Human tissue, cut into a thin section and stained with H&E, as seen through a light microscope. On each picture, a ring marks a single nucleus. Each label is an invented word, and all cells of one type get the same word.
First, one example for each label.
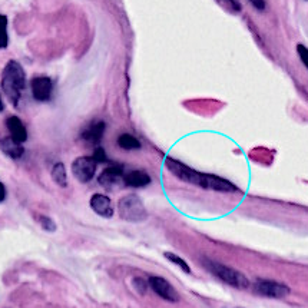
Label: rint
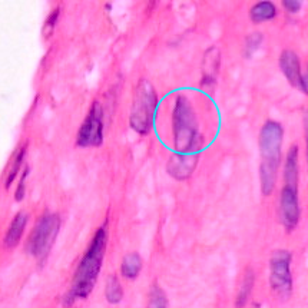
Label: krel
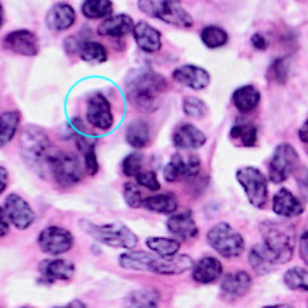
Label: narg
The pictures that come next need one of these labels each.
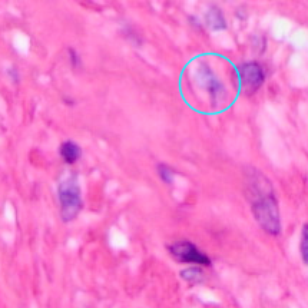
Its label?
krel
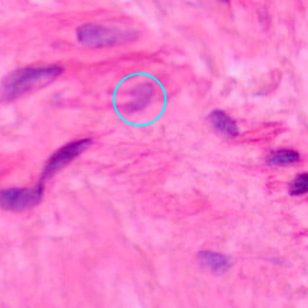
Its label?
krel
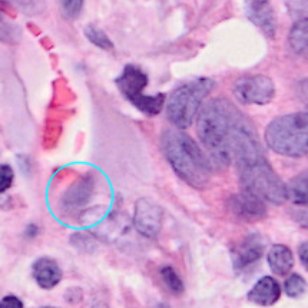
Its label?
rint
